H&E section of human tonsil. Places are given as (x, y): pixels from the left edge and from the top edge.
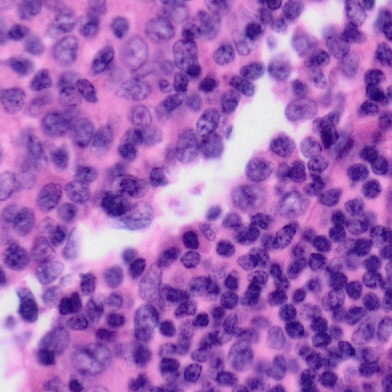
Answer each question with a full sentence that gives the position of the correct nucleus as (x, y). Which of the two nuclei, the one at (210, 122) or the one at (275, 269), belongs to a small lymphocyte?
It is at (275, 269) that the nucleus of a small lymphocyte is found.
